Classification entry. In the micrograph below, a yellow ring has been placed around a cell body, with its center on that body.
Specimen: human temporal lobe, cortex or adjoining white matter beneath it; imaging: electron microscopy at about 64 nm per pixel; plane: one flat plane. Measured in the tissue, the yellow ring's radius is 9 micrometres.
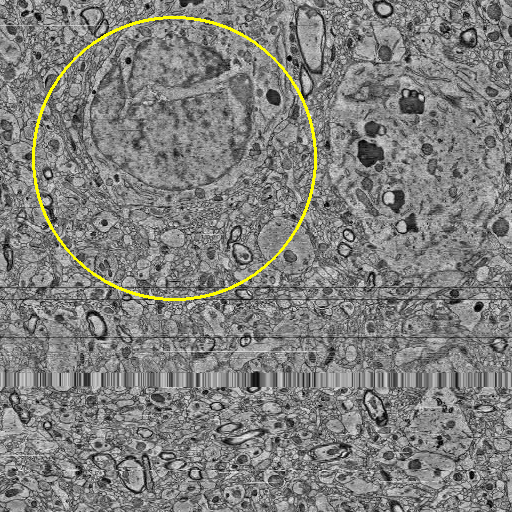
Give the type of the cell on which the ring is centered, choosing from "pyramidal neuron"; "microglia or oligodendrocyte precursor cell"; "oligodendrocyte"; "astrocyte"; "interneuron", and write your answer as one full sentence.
The cell body at the center of the yellow ring belongs to an interneuron.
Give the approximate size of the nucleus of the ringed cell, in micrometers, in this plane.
About 10 micrometres across in this plane, for the nucleus.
